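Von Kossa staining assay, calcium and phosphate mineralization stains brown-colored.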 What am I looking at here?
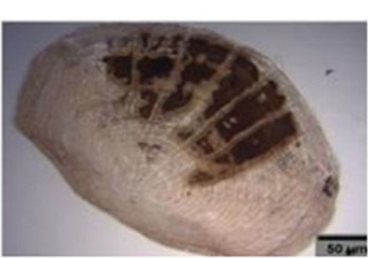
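A whole fish scale is seen as a flat oval plate marked by fine concentric growth rings across its surface. Over the upper right part of the plate lie large, dark brown patches, divided from one another by narrow pale bands that radiate across the scale. The rest of the plate is pale tan with only scattered small dark specks.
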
